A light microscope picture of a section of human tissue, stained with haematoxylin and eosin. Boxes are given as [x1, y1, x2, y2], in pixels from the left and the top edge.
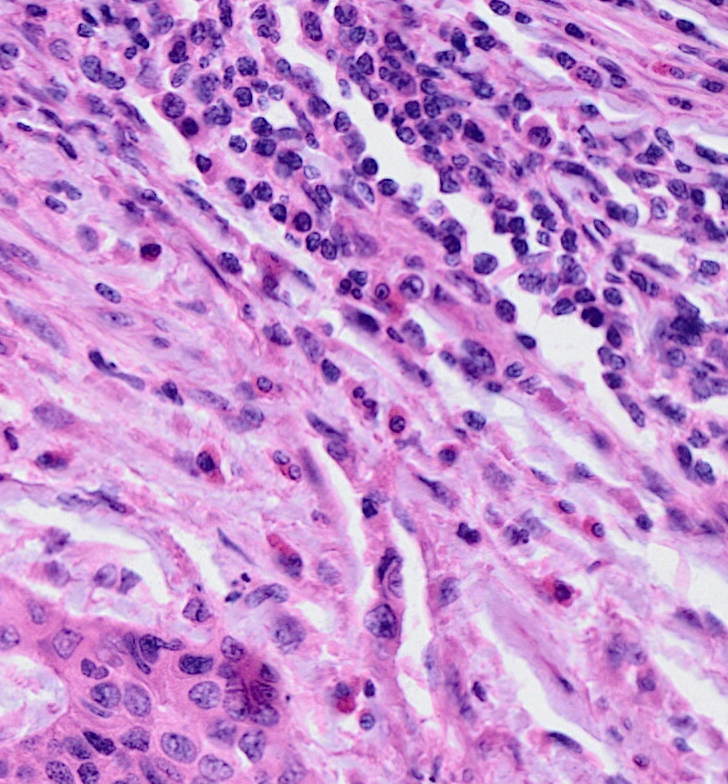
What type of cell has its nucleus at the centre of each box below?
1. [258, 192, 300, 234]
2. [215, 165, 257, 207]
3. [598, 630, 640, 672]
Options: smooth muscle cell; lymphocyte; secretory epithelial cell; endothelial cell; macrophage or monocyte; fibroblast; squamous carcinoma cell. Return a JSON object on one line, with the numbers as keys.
{"1": "lymphocyte", "2": "lymphocyte", "3": "endothelial cell"}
